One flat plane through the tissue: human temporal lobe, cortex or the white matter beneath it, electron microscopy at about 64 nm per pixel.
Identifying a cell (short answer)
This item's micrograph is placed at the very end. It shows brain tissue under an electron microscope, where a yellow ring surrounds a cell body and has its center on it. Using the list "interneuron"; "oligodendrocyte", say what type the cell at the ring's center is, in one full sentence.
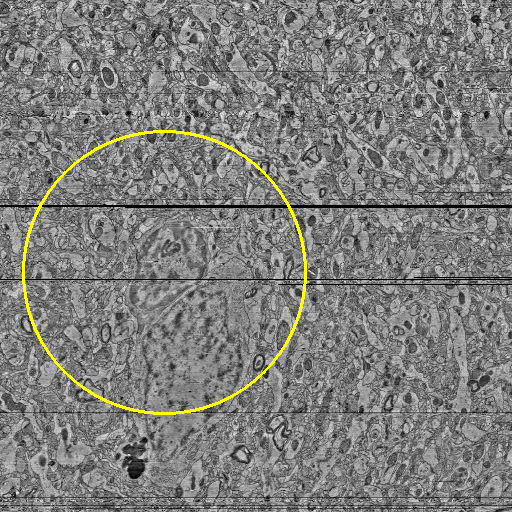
This picture shows an oligodendrocyte at the center of the yellow ring drawn on it.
